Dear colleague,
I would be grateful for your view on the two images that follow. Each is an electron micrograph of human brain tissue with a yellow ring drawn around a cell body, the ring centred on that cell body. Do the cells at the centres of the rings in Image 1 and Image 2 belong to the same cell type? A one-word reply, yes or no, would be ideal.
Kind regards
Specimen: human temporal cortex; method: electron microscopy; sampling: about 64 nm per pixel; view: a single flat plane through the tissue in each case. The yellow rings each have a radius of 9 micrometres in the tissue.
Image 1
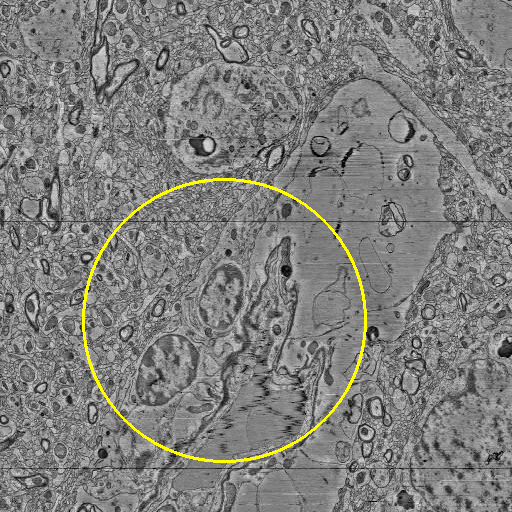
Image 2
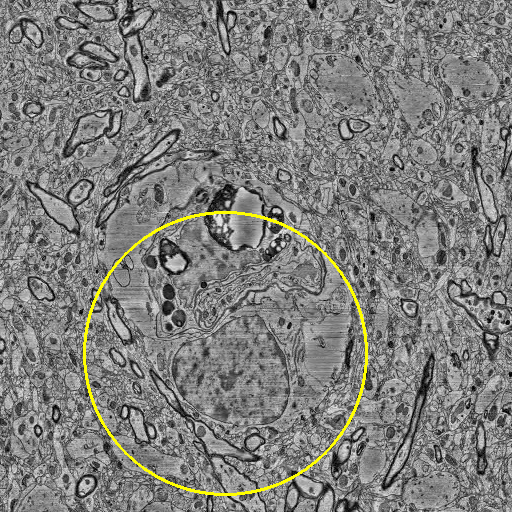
yes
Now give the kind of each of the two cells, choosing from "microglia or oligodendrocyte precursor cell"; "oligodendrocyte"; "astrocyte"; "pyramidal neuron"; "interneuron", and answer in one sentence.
The first and the second cell are each a microglial cell or oligodendrocyte precursor cell.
